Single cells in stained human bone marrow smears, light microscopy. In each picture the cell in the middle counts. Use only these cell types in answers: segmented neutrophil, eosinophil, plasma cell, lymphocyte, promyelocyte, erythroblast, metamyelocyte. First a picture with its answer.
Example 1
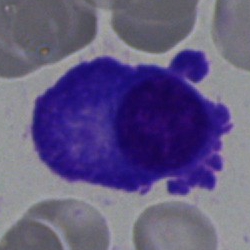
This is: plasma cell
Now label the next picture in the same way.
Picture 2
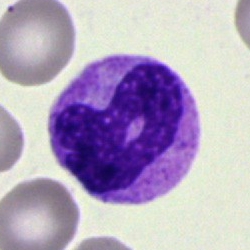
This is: segmented neutrophil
